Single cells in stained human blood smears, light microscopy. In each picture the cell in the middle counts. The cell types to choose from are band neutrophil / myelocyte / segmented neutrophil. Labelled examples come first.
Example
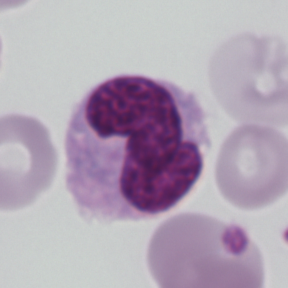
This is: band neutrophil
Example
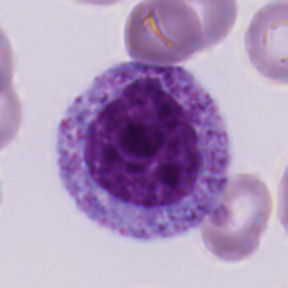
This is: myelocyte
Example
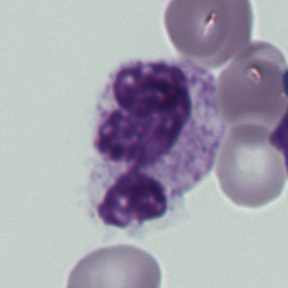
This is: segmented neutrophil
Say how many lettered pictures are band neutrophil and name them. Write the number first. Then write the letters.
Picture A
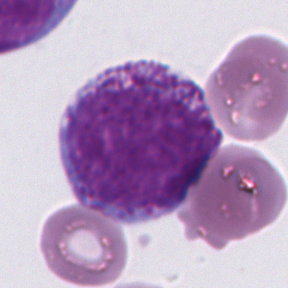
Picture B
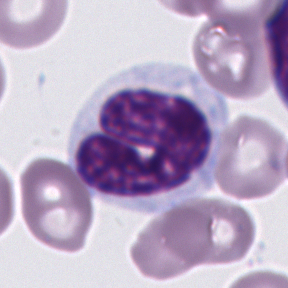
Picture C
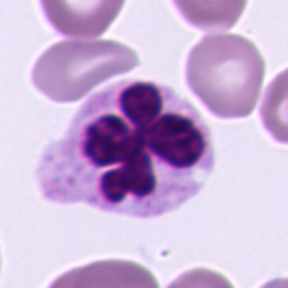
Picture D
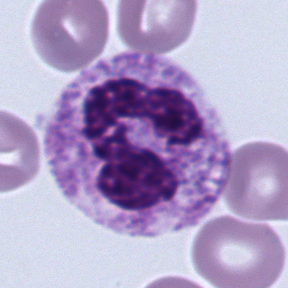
Count: 1 (B)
